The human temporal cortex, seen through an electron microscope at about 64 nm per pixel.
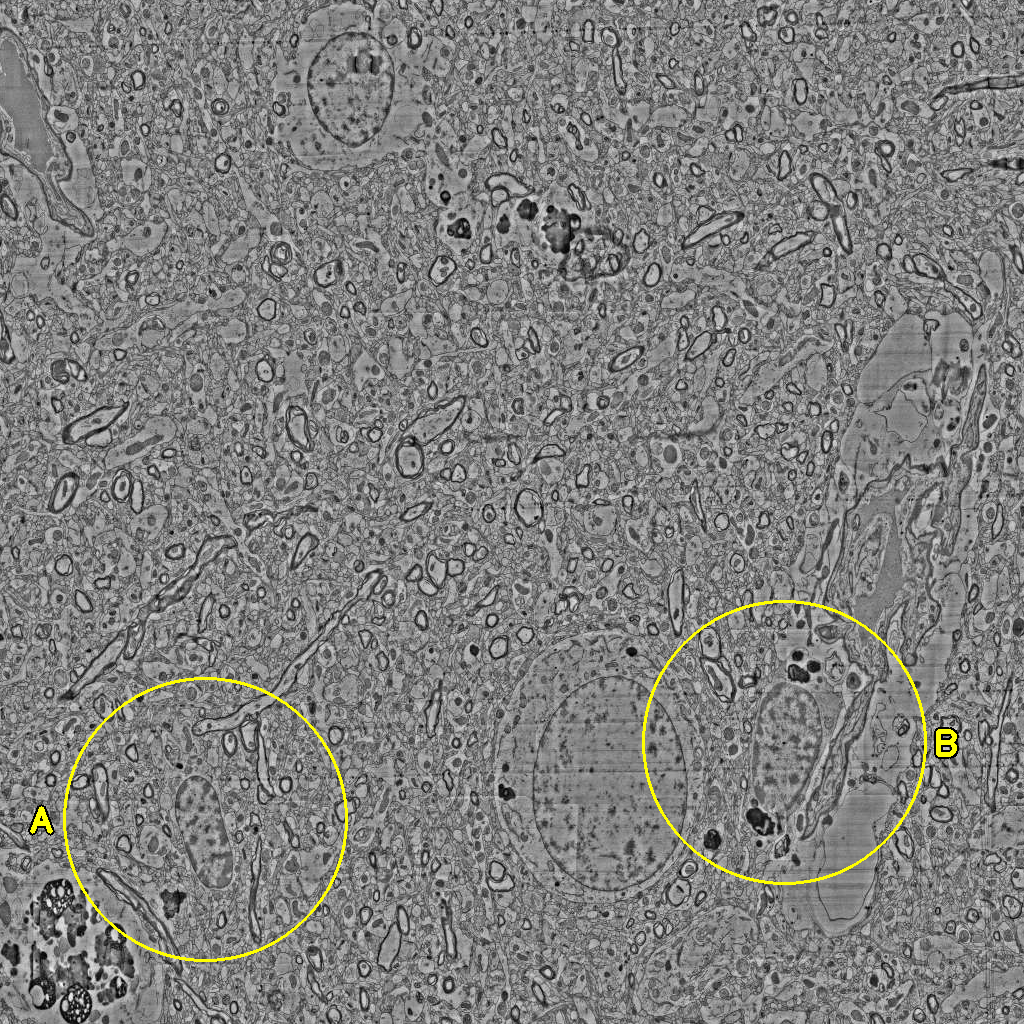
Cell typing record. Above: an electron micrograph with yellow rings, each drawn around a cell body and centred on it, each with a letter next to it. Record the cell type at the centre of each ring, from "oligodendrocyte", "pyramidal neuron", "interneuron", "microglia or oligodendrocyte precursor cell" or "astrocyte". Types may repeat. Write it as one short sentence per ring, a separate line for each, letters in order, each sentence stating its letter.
Ring A circles a microglial cell or oligodendrocyte precursor cell.
Ring B circles an oligodendrocyte.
